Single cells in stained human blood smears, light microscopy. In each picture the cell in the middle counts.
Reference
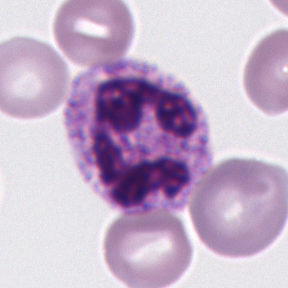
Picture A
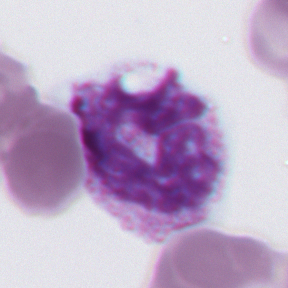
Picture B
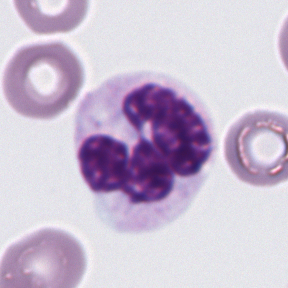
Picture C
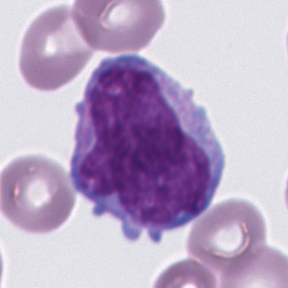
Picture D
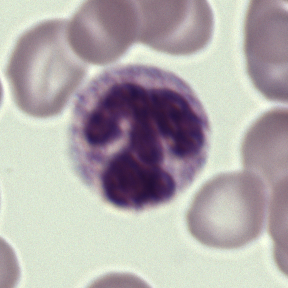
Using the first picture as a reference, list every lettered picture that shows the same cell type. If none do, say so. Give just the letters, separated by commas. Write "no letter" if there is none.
A, B, D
